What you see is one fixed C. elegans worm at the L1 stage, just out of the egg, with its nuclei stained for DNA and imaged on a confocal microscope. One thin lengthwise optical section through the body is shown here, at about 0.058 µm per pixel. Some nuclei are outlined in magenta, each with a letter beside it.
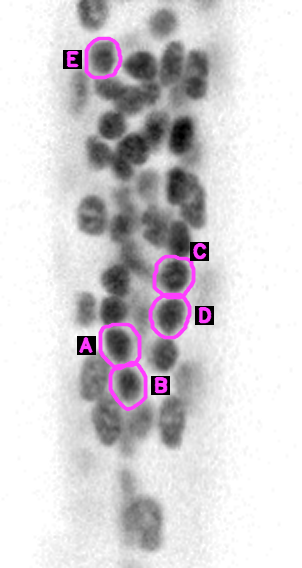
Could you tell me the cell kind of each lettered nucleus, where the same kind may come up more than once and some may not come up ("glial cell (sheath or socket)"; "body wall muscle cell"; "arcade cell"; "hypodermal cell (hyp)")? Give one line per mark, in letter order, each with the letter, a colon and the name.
A: glial cell (sheath or socket)
B: arcade cell
C: hypodermal cell (hyp)
D: arcade cell
E: glial cell (sheath or socket)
